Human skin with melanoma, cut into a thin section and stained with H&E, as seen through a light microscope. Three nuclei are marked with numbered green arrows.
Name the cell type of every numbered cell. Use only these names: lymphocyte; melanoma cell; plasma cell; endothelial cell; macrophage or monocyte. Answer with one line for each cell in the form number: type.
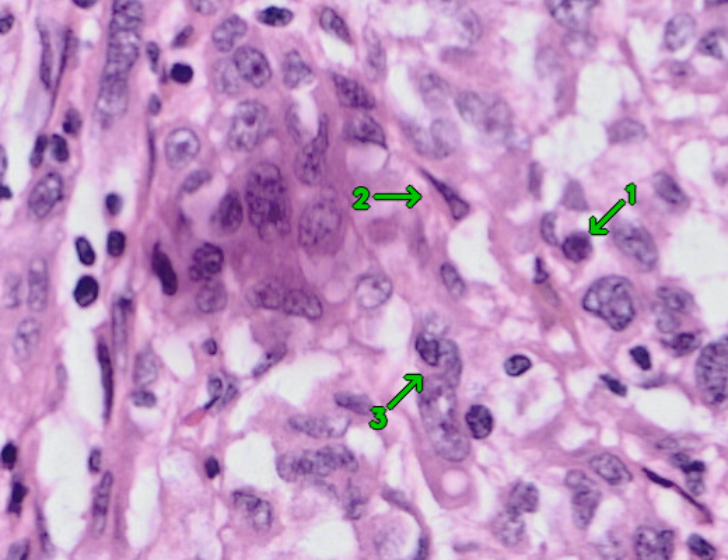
1: melanoma cell
2: macrophage or monocyte
3: melanoma cell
